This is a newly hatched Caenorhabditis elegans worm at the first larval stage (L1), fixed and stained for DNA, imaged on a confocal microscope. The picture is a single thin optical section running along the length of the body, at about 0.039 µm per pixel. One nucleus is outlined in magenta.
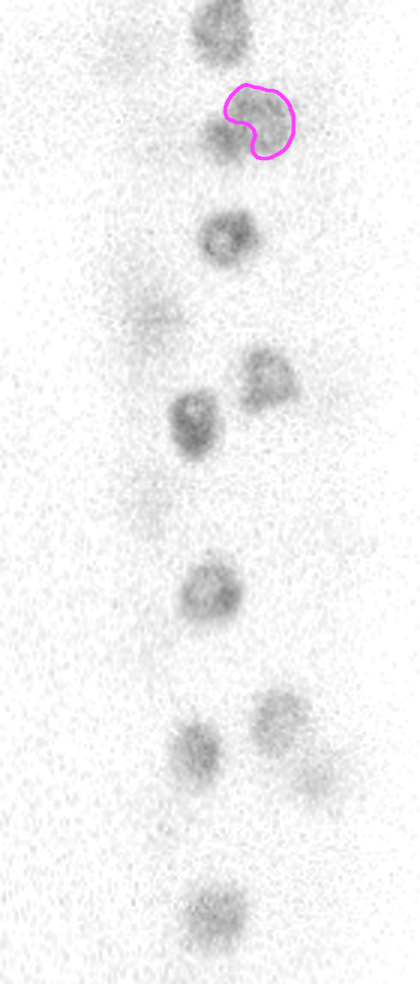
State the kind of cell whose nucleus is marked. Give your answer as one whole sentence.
The nucleus comes from a hypodermal cell (hyp).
